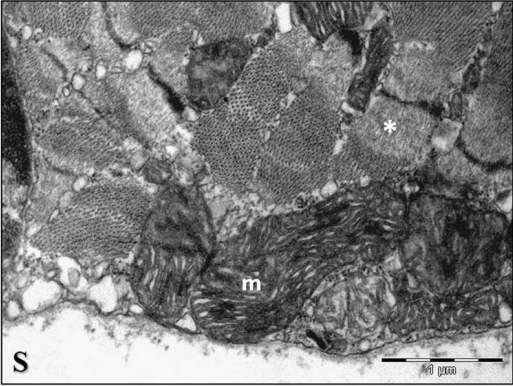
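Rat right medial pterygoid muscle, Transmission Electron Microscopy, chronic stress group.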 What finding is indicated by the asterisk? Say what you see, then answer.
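The asterisk lies on a myofibril whose regular dotted filament array gives way to a paler, less ordered texture. The answer: myofibrils containing amorphous material.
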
